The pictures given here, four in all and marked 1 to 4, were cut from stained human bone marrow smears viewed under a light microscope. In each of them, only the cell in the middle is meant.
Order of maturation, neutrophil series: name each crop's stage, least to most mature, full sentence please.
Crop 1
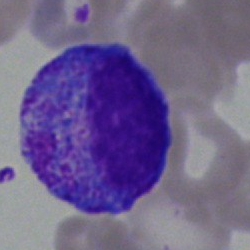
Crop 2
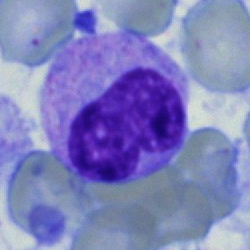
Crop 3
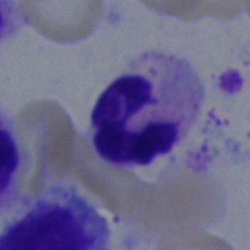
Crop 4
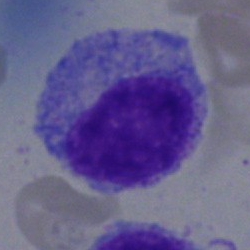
Placed in order of rising maturity, the crops stand as crop 1 (a promyelocyte), crop 4 (a myelocyte), crop 2 (a metamyelocyte) and crop 3 (a segmented neutrophil).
